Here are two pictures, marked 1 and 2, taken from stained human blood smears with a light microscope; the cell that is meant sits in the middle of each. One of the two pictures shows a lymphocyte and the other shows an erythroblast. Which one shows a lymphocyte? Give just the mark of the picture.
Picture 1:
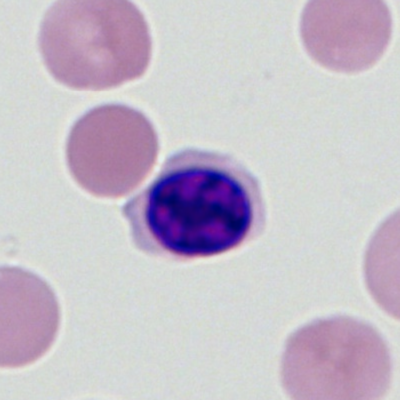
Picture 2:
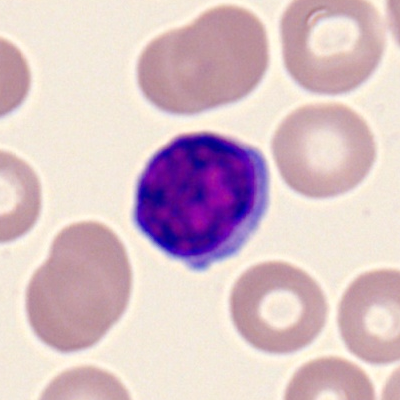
2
